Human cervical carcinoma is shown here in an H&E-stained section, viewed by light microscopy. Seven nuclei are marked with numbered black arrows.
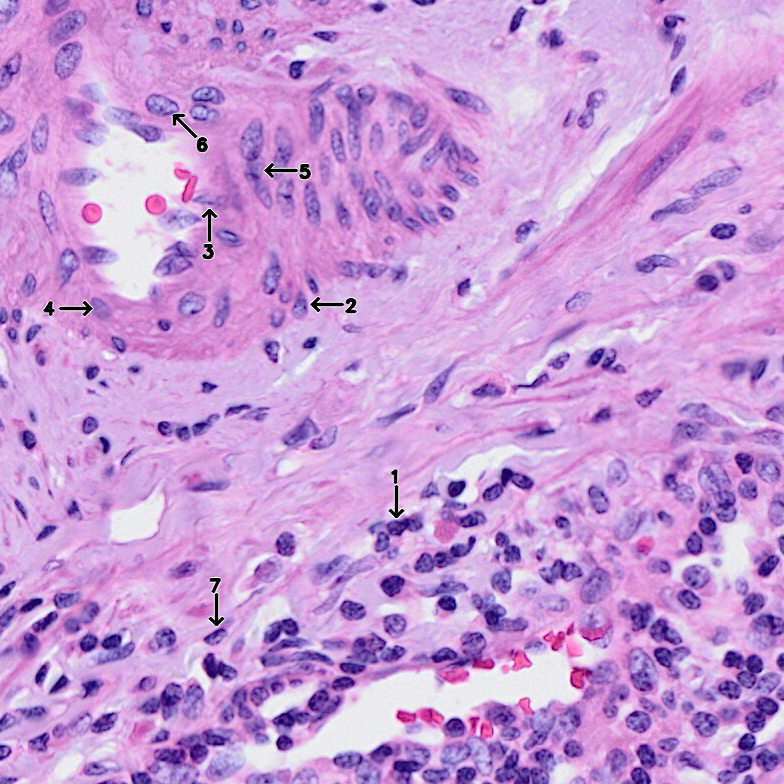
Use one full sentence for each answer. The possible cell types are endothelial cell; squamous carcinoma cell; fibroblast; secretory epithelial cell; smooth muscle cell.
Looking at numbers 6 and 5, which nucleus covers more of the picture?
It is nucleus 6, which covers about 2 times the area of nucleus 5.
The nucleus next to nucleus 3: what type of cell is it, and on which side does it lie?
The nearest one is a smooth muscle cell, found to the right of nucleus 3.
